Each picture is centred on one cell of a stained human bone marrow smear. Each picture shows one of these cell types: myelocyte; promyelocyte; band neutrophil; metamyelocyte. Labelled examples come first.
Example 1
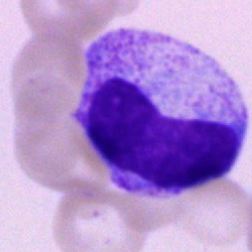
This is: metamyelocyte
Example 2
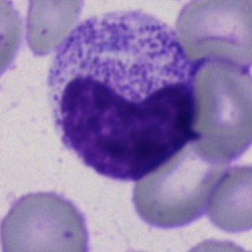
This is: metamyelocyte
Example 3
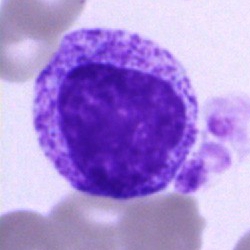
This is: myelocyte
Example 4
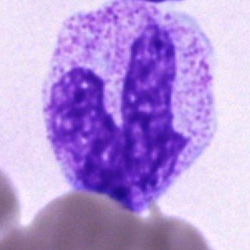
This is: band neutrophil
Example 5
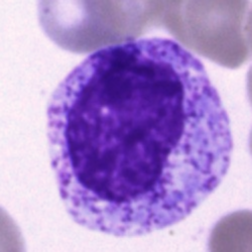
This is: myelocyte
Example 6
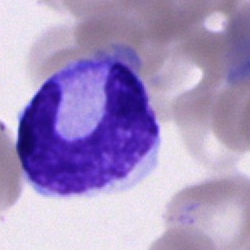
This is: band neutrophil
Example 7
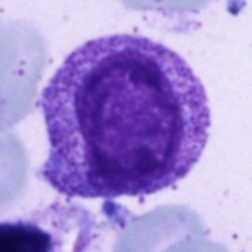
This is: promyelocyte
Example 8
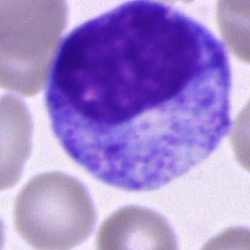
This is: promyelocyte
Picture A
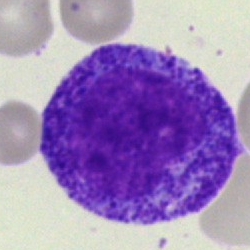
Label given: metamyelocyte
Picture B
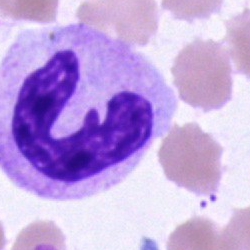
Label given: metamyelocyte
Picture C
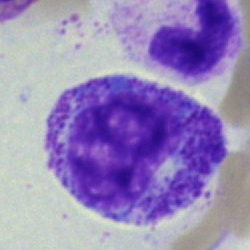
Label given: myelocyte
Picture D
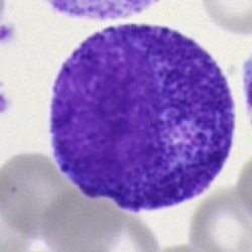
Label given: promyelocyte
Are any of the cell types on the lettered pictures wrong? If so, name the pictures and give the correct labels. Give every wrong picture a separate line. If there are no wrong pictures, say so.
A: promyelocyte, not metamyelocyte
B: band neutrophil, not metamyelocyte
